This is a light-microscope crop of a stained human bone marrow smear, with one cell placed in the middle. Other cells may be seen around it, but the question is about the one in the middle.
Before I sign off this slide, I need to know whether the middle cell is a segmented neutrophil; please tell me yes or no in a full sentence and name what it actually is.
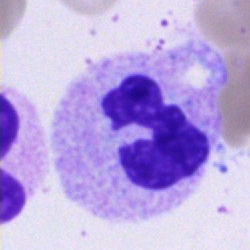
Yes, the cell occupying the middle of the crop is a segmented neutrophil.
